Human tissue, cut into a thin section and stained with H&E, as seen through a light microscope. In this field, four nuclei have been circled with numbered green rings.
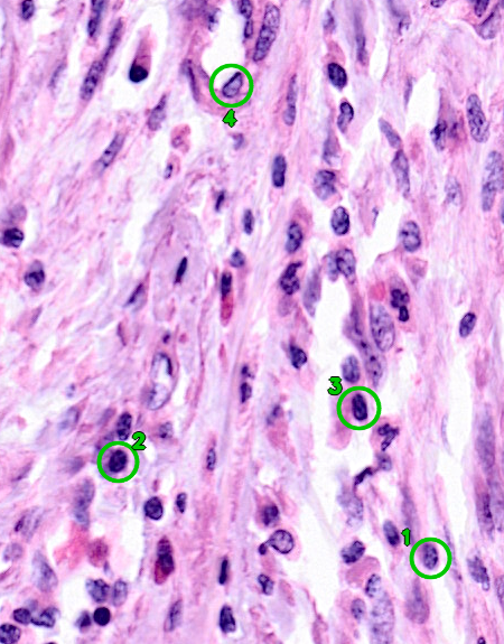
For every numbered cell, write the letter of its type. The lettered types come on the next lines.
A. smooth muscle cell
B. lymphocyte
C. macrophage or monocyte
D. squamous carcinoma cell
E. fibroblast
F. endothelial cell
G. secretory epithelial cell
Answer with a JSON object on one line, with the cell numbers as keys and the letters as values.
{"1": "B", "2": "B", "3": "B", "4": "F"}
